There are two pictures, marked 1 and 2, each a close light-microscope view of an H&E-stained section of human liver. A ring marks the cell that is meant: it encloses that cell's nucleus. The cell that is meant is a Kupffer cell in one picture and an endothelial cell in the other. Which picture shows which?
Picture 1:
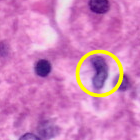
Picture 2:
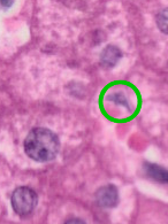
1: Kupffer cell
2: endothelial cell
